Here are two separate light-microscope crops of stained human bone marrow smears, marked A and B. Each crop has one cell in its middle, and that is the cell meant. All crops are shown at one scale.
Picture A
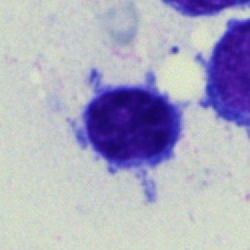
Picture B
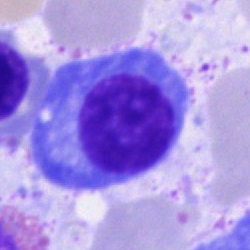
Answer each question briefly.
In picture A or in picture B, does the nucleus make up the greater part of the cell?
A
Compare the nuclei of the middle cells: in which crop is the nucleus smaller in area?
A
